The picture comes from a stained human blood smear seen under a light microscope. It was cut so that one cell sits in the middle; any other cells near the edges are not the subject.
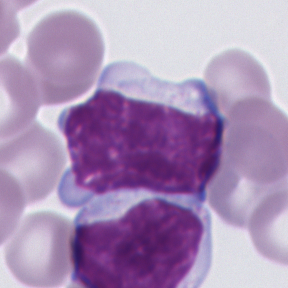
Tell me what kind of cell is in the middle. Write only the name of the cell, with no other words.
large granular lymphocyte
